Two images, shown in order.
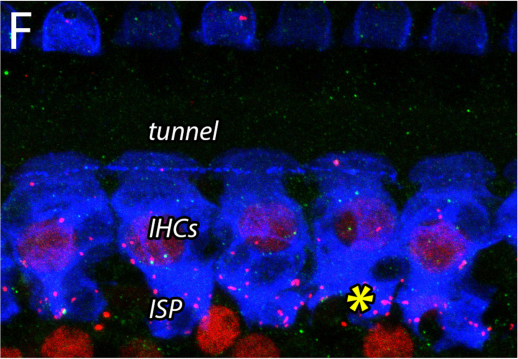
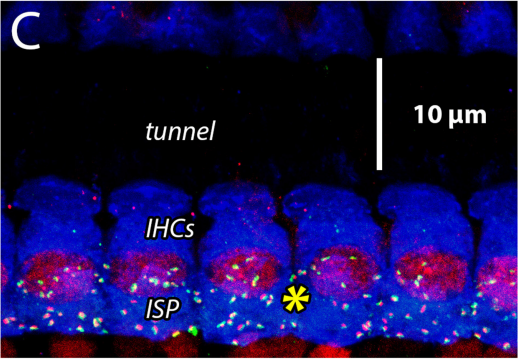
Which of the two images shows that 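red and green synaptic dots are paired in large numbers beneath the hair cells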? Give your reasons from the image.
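The second image. First image: only scattered red dots below the hair cells, few with a green partner. Second image: many small red dots each paired with a green dot crowd the base of the hair cells.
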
